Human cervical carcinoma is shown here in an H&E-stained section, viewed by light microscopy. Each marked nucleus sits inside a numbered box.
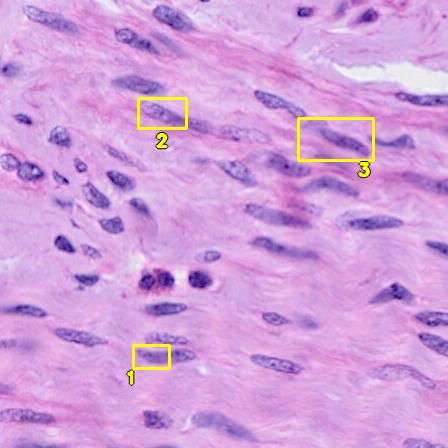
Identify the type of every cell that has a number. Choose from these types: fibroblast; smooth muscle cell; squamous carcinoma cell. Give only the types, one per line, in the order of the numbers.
fibroblast
smooth muscle cell
smooth muscle cell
